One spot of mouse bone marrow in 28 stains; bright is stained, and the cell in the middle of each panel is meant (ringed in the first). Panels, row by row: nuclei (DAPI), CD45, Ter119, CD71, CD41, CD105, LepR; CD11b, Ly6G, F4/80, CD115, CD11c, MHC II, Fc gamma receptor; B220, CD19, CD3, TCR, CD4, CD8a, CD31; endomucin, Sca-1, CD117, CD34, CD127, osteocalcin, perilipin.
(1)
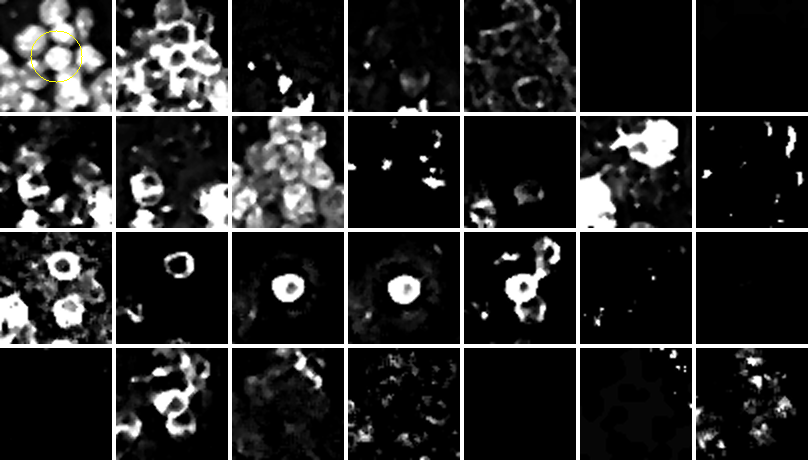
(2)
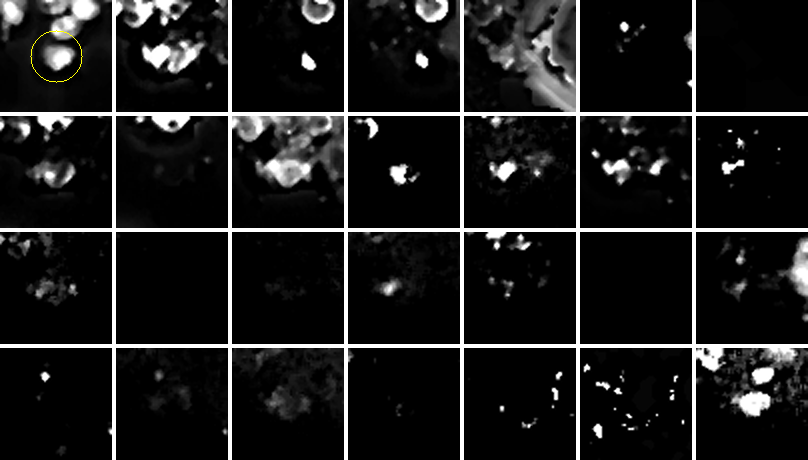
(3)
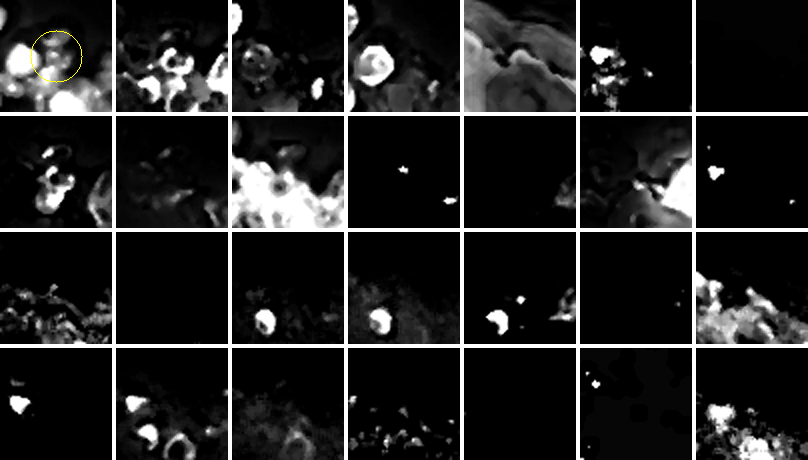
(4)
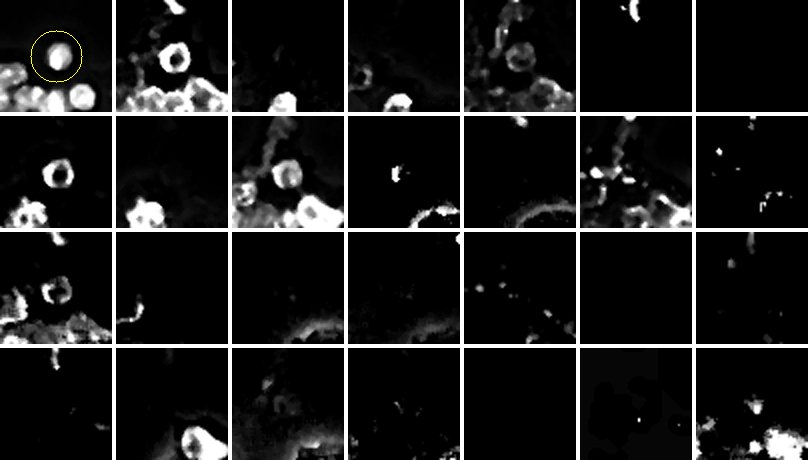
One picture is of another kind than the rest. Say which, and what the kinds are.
Picture 1 shows a CD4 T cell; the rest show monocytes.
